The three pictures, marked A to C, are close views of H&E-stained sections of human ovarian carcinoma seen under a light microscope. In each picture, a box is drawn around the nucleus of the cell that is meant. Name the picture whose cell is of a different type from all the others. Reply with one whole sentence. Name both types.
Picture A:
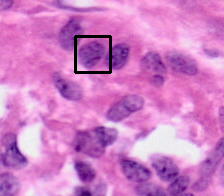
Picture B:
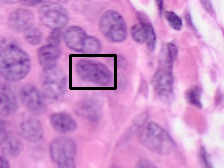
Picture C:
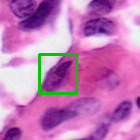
Unlike the rest, which show carcinoma cells, picture C shows an endothelial cell.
